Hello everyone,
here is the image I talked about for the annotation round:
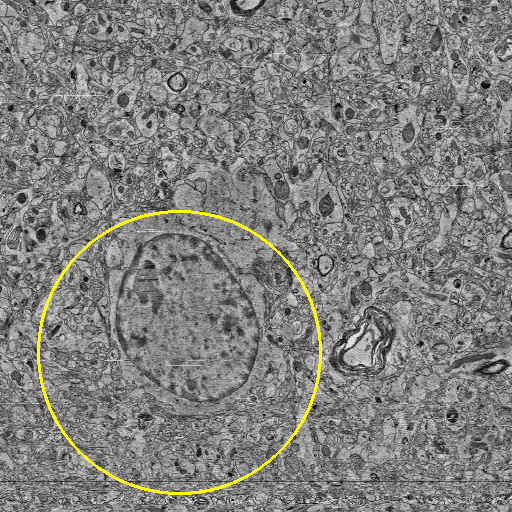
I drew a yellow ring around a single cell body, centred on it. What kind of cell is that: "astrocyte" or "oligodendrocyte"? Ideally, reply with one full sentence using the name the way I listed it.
The cell your yellow ring is centred on is an astrocyte, going by your list.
